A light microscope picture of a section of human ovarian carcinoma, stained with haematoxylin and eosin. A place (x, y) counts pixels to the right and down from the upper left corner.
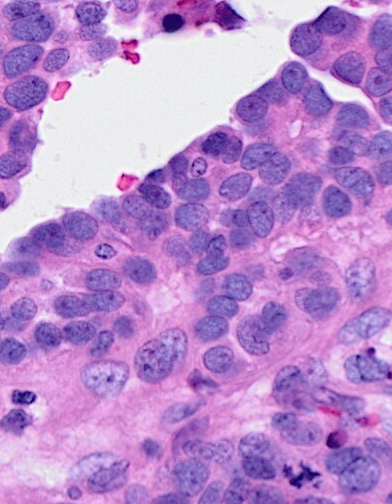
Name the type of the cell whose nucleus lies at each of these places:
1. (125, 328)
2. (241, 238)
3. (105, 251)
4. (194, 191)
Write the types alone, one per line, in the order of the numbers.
carcinoma cell
carcinoma cell
macrophage or monocyte
carcinoma cell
